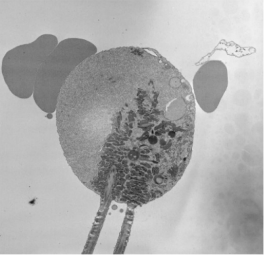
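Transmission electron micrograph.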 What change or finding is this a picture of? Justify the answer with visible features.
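Two parallel flagellar profiles leave the bottom of one large round cell body. The answer: multiple flagella.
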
